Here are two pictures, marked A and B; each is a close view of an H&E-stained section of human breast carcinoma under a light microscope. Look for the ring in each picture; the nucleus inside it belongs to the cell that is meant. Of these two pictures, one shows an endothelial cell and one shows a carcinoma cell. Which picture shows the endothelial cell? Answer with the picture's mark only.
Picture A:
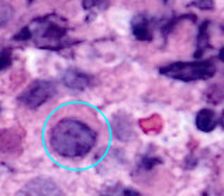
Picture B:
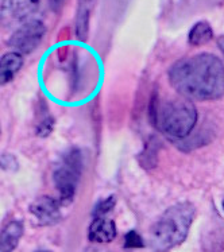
B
